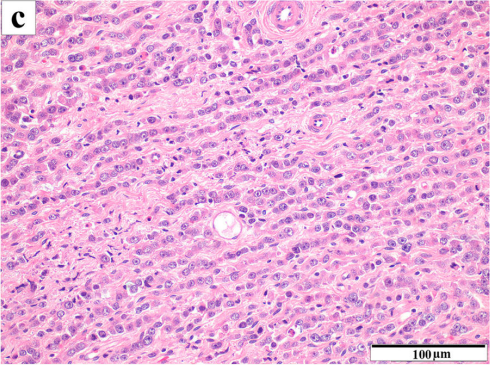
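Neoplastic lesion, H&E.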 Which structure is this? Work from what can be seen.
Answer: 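Cords. Tumour cells line up in parallel rows running diagonally across the field. Thin strands of pink stroma separate the rows.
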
